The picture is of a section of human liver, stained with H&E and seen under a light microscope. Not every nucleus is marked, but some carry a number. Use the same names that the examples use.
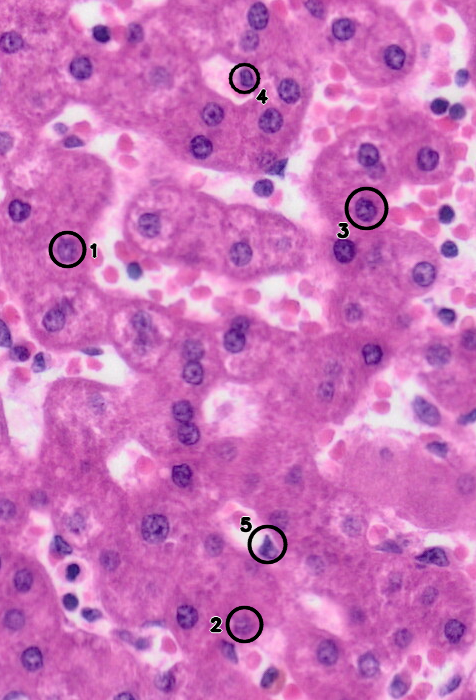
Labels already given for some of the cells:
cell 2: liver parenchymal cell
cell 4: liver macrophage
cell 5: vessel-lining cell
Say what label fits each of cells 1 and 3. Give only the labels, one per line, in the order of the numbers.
liver parenchymal cell
liver parenchymal cell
